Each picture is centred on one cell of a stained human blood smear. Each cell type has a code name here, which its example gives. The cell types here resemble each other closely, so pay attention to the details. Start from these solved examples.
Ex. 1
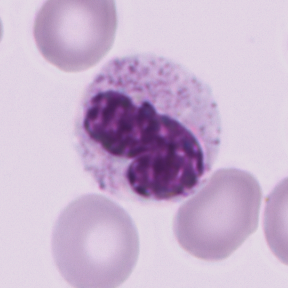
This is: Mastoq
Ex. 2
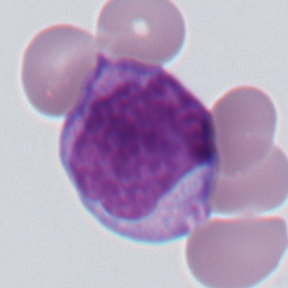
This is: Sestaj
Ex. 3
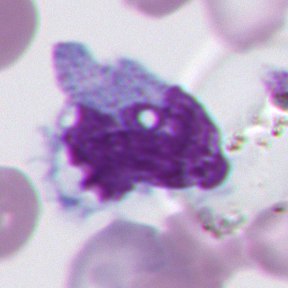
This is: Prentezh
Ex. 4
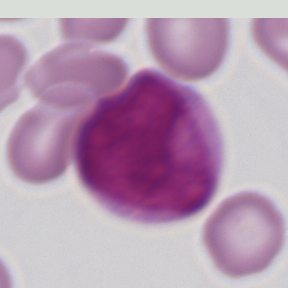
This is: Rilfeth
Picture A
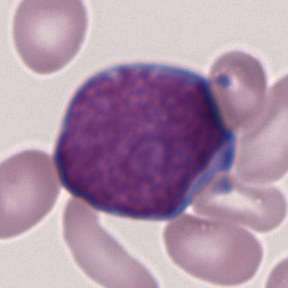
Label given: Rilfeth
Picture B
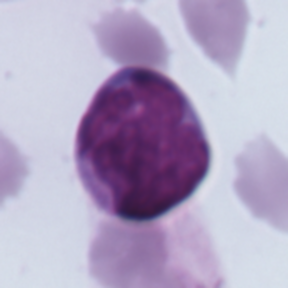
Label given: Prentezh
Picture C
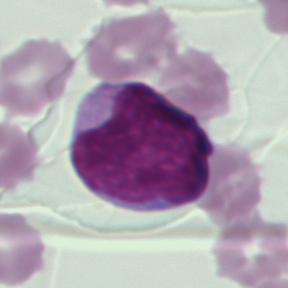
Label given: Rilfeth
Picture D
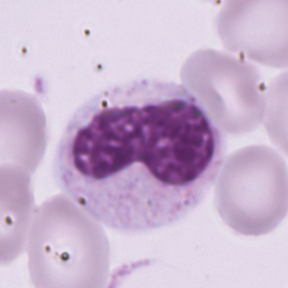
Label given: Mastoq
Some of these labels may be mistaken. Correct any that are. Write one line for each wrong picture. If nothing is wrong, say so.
Wrong: B (Prentezh); correct: Rilfeth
